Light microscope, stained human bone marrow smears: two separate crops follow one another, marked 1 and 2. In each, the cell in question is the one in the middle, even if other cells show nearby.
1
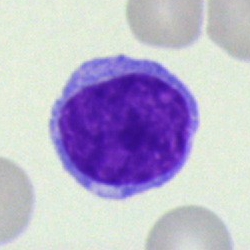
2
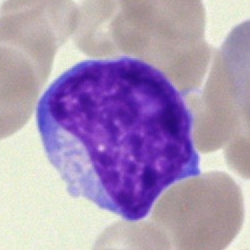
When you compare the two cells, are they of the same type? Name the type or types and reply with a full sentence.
No, mark crop 1 as a lymphocyte and crop 2 as a blast.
